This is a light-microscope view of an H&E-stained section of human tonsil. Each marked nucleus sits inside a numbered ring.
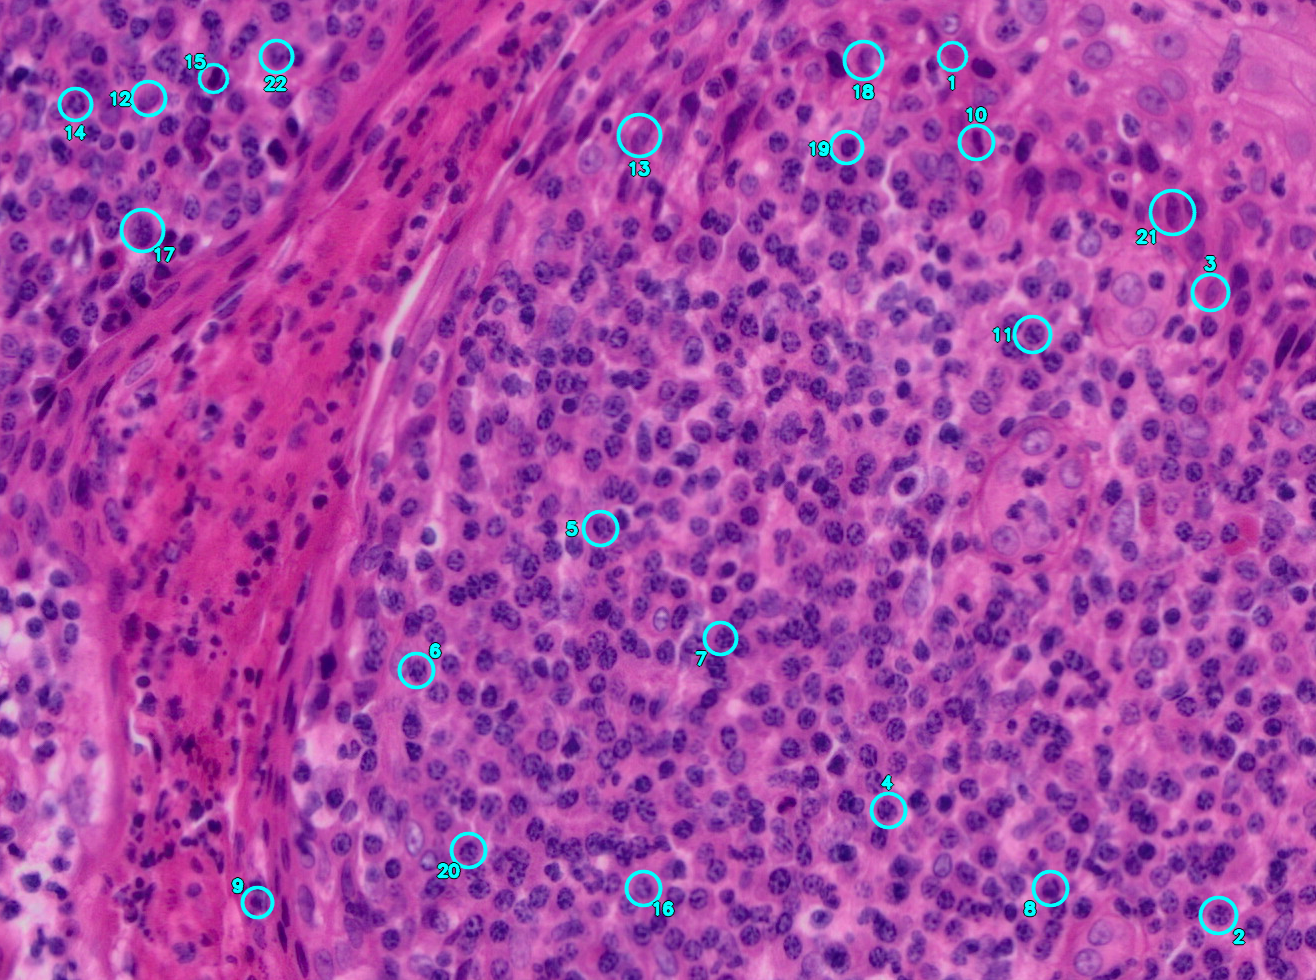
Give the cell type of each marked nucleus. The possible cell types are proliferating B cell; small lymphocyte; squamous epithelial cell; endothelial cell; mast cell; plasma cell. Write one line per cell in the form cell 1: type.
cell 1: squamous epithelial cell
cell 2: plasma cell
cell 3: squamous epithelial cell
cell 4: plasma cell
cell 5: plasma cell
cell 6: plasma cell
cell 7: plasma cell
cell 8: plasma cell
cell 9: squamous epithelial cell
cell 10: squamous epithelial cell
cell 11: plasma cell
cell 12: squamous epithelial cell
cell 13: squamous epithelial cell
cell 14: plasma cell
cell 15: squamous epithelial cell
cell 16: plasma cell
cell 17: squamous epithelial cell
cell 18: squamous epithelial cell
cell 19: plasma cell
cell 20: plasma cell
cell 21: squamous epithelial cell
cell 22: plasma cell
